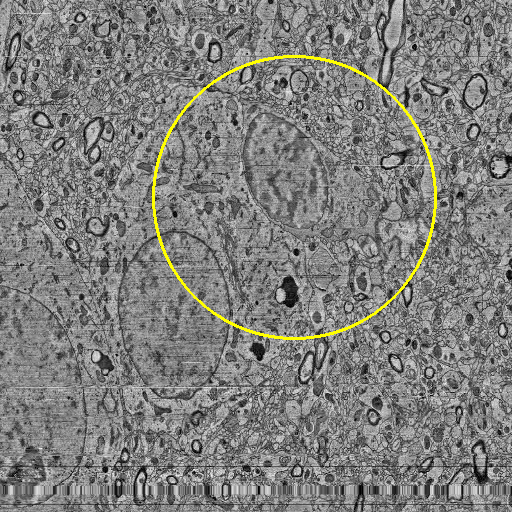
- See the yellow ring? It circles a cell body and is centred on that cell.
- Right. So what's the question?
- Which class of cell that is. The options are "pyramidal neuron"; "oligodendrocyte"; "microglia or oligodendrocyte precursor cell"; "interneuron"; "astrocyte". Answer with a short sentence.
The centre of the ring holds an oligodendrocyte.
